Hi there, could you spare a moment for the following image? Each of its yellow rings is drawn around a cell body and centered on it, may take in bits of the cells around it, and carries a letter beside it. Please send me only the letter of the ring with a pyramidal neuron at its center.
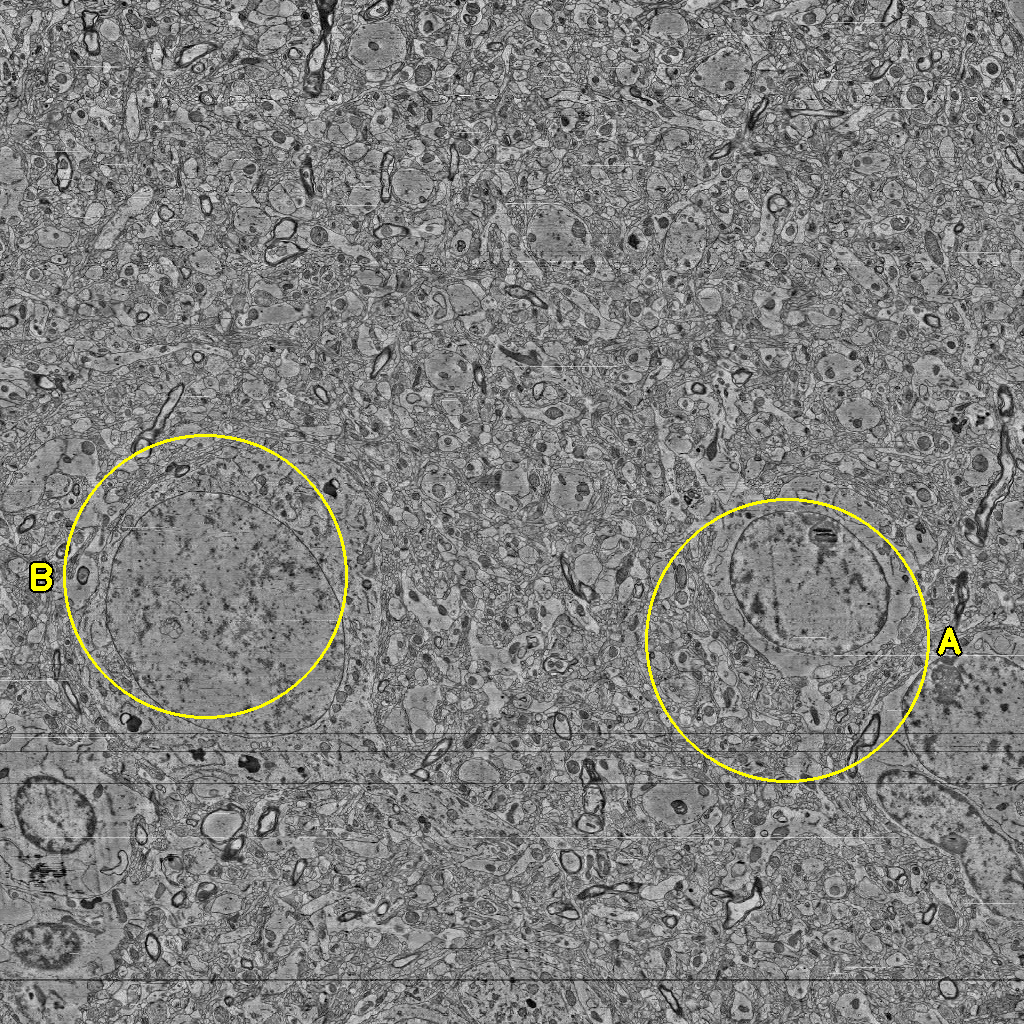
B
